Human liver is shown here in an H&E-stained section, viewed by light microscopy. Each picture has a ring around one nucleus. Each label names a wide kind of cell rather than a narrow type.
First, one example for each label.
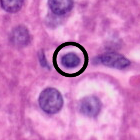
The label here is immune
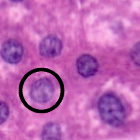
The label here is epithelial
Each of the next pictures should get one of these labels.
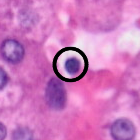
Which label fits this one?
immune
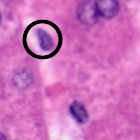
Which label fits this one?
immune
